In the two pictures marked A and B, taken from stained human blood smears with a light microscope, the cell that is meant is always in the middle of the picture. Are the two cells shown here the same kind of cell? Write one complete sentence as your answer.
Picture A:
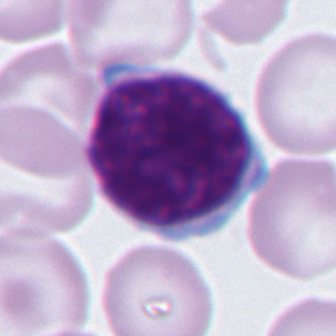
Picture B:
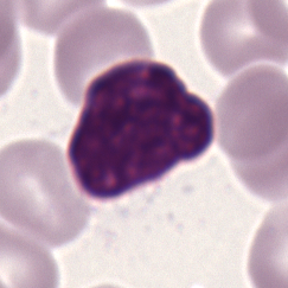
No, picture A shows a typical lymphocyte and picture B shows a smudge cell.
